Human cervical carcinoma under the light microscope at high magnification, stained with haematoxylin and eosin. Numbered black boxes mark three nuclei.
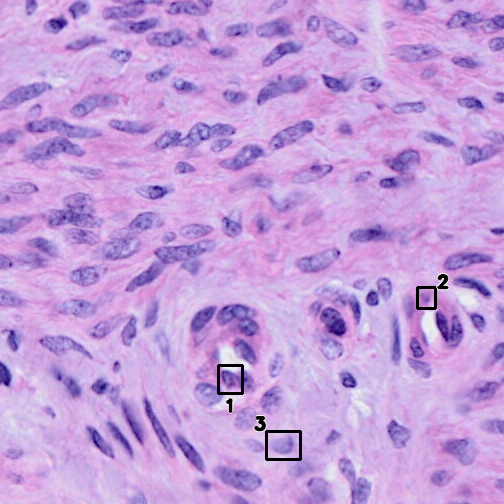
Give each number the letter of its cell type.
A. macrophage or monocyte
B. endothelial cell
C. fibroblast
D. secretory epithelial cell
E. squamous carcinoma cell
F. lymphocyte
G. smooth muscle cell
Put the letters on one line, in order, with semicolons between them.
B; B; C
